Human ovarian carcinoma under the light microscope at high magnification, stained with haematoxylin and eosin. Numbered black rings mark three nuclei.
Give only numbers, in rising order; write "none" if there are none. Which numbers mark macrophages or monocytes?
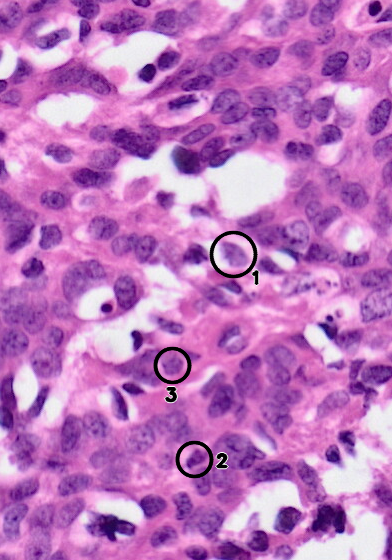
3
